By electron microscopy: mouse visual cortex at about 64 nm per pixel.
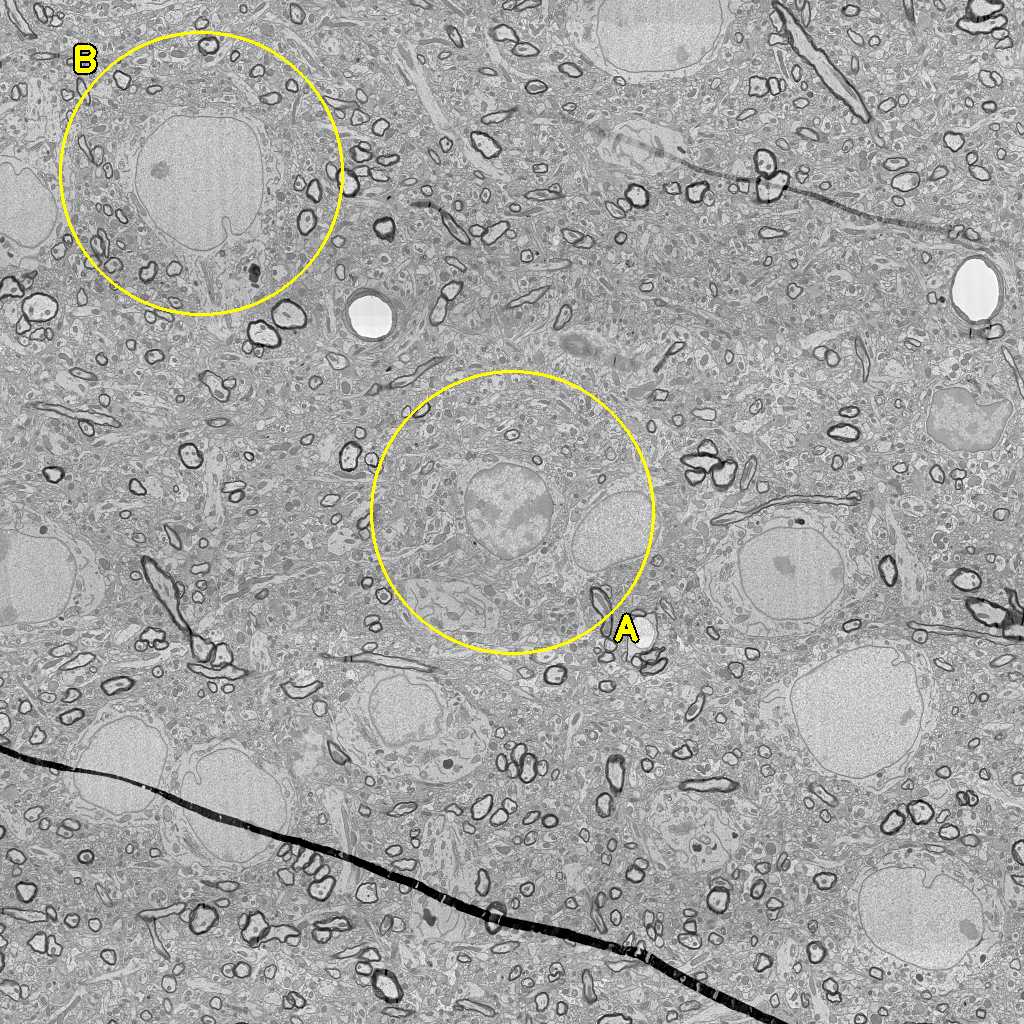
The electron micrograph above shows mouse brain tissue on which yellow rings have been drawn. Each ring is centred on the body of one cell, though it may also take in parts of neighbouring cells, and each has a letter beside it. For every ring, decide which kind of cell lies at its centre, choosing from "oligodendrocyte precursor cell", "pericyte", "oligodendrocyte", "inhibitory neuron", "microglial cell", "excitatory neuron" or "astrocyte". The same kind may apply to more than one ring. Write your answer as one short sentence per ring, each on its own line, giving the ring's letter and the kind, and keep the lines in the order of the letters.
Ring A is centred on an oligodendrocyte.
Ring B is centred on an excitatory neuron.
